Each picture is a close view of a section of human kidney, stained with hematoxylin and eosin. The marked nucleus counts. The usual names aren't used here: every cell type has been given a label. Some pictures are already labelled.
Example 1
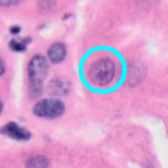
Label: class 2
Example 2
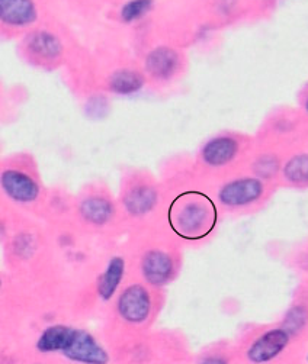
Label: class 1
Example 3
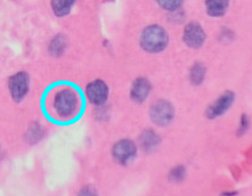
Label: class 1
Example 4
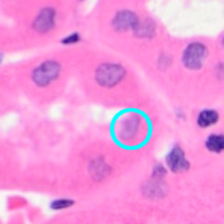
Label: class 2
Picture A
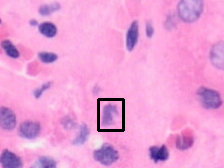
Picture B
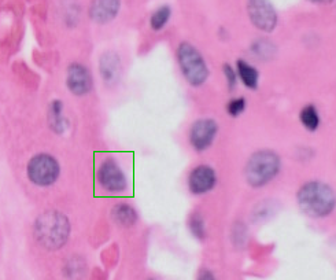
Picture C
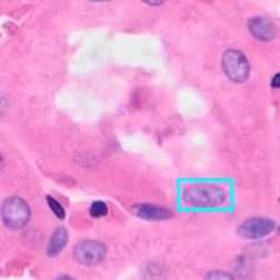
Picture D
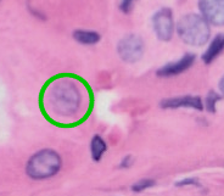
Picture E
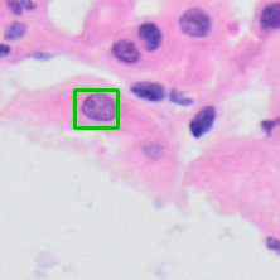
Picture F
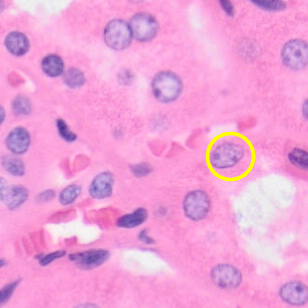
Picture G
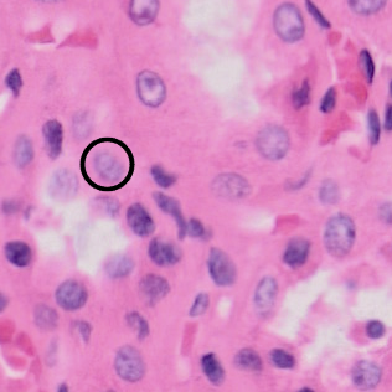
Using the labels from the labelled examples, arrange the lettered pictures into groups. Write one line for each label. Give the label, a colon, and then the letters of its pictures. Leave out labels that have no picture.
class 2: C, D, E, F
class 1: A, B, G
